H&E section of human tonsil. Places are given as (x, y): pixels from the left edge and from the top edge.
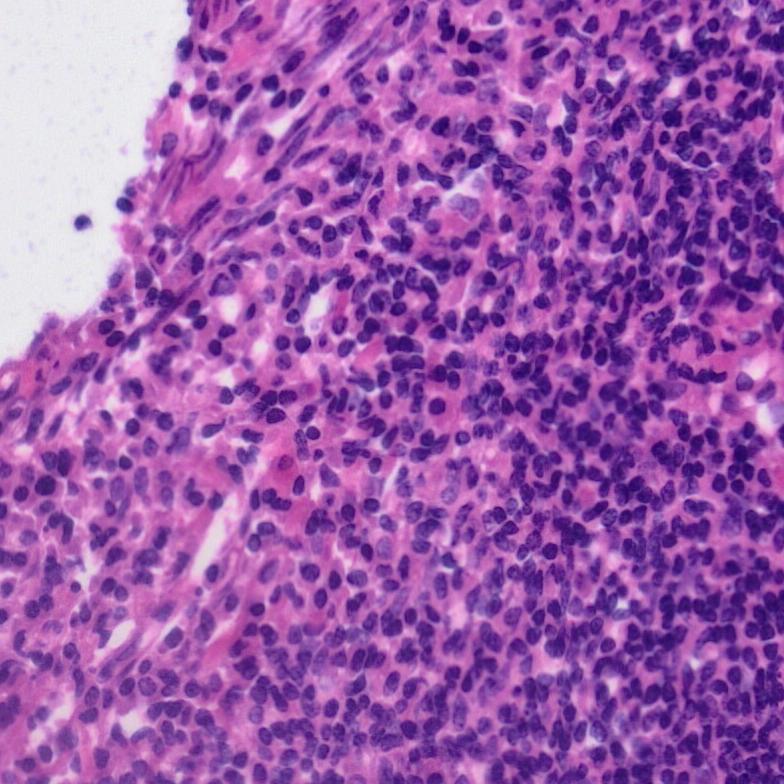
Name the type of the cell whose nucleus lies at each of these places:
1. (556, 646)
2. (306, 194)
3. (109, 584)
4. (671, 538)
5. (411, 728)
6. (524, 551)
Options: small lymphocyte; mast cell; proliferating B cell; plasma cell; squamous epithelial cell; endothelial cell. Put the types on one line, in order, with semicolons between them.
small lymphocyte; plasma cell; plasma cell; small lymphocyte; small lymphocyte; small lymphocyte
